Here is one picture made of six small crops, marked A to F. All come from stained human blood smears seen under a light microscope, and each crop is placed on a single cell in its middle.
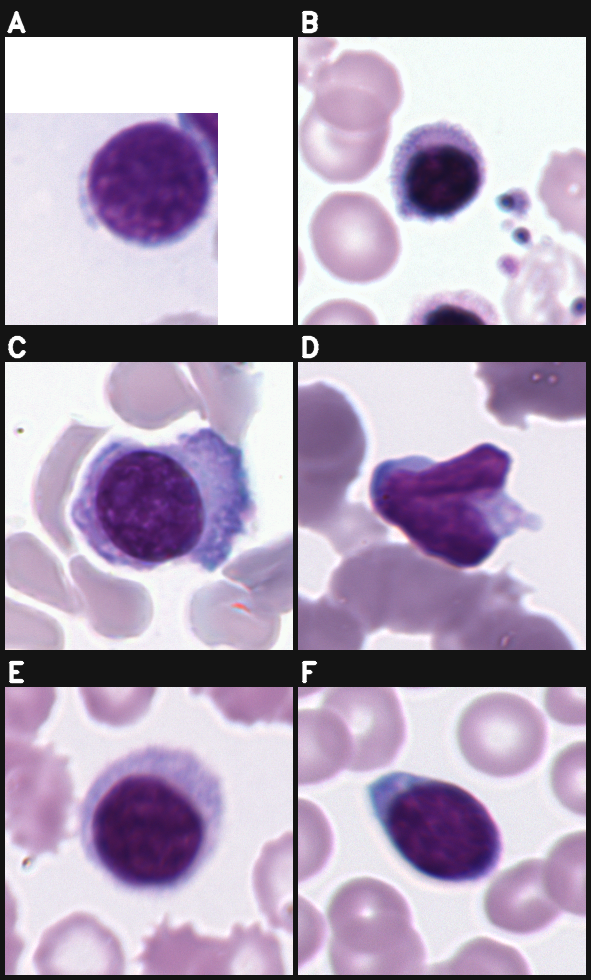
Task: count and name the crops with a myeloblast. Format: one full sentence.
The cells in crops A and D are myeloblasts, giving two crops of this kind.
